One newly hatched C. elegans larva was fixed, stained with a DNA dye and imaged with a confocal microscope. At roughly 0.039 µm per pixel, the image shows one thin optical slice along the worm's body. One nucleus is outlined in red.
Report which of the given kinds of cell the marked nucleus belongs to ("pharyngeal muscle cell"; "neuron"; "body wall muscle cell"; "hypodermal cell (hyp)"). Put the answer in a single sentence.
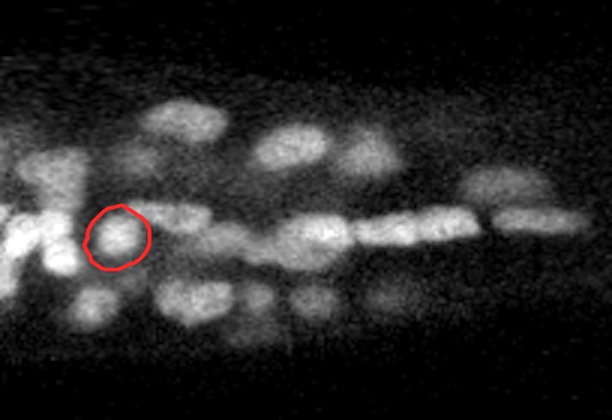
The nucleus comes from a neuron.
